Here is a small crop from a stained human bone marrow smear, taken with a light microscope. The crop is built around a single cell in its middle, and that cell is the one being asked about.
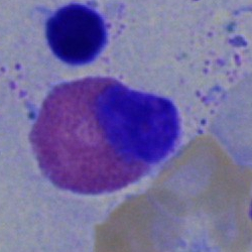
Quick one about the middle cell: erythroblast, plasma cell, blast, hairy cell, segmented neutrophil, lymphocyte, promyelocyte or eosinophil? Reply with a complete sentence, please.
Where the crop is centred, there is an eosinophil.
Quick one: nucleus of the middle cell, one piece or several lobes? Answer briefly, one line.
Have a look at the nucleus, which is one compact mass, round, oval or kidney-shaped.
